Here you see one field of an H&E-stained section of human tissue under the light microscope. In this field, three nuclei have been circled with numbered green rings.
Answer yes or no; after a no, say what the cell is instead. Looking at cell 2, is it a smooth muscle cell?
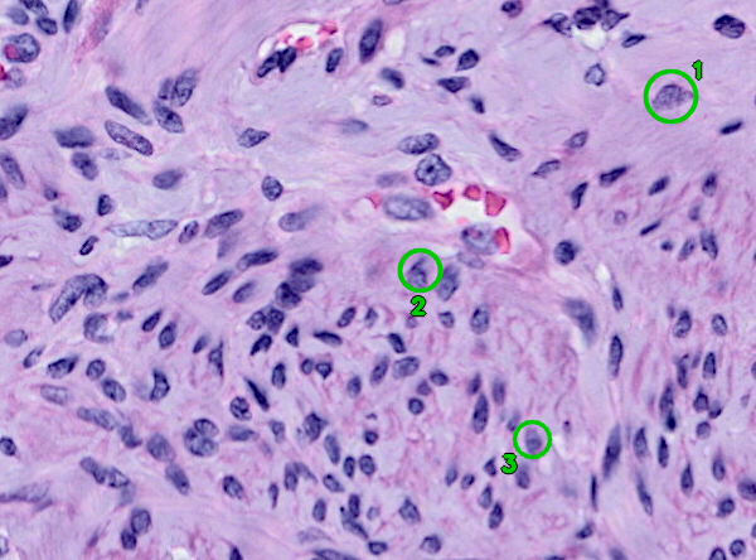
Yes.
